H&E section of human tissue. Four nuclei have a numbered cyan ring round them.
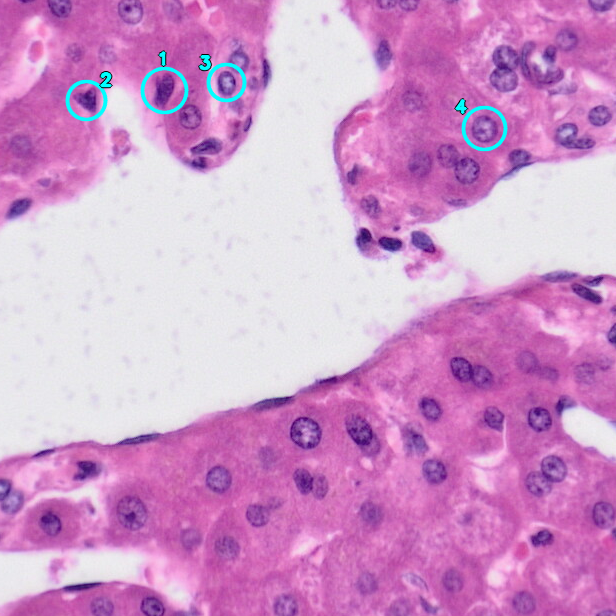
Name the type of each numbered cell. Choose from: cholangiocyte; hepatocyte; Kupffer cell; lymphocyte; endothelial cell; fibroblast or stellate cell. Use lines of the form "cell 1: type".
cell 1: fibroblast or stellate cell
cell 2: fibroblast or stellate cell
cell 3: cholangiocyte
cell 4: hepatocyte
